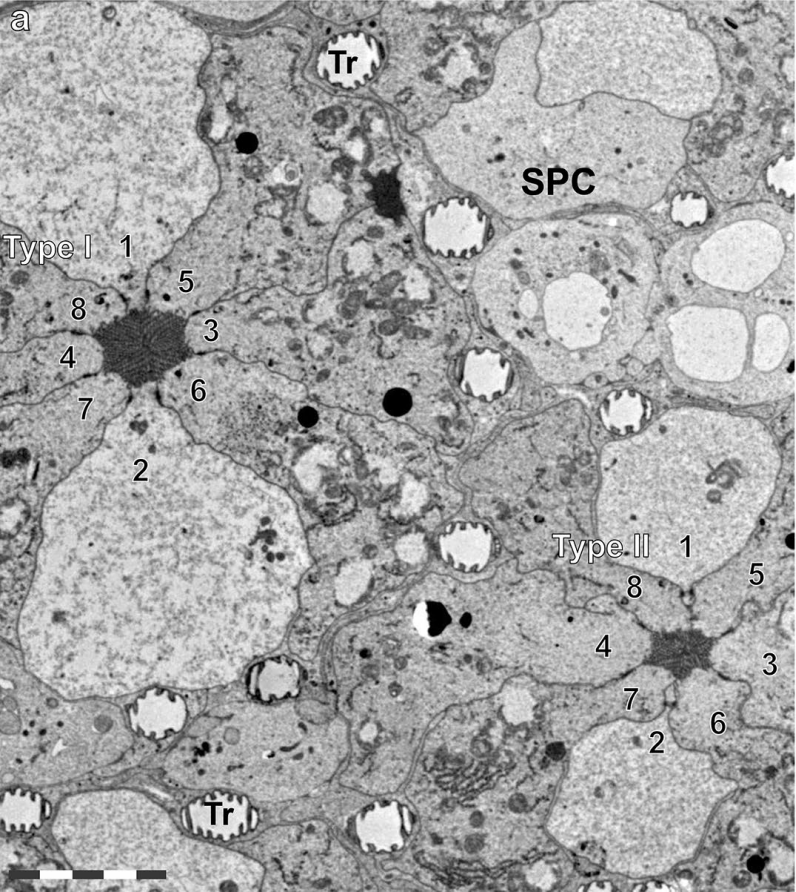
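This electron micrograph shows a cross-section through the compound eye with two groups of eight numbered photoreceptor cells, each group arranged around a dark, finely striated central rhabdom. The rhabdom at upper left is larger in cross-section than the one at lower right. Small round profiles with a clear lumen and a ridged wall, the tracheoles, are scattered between the cells. Dark round granules and clusters of mitochondria lie in the cytoplasm between the ommatidia.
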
